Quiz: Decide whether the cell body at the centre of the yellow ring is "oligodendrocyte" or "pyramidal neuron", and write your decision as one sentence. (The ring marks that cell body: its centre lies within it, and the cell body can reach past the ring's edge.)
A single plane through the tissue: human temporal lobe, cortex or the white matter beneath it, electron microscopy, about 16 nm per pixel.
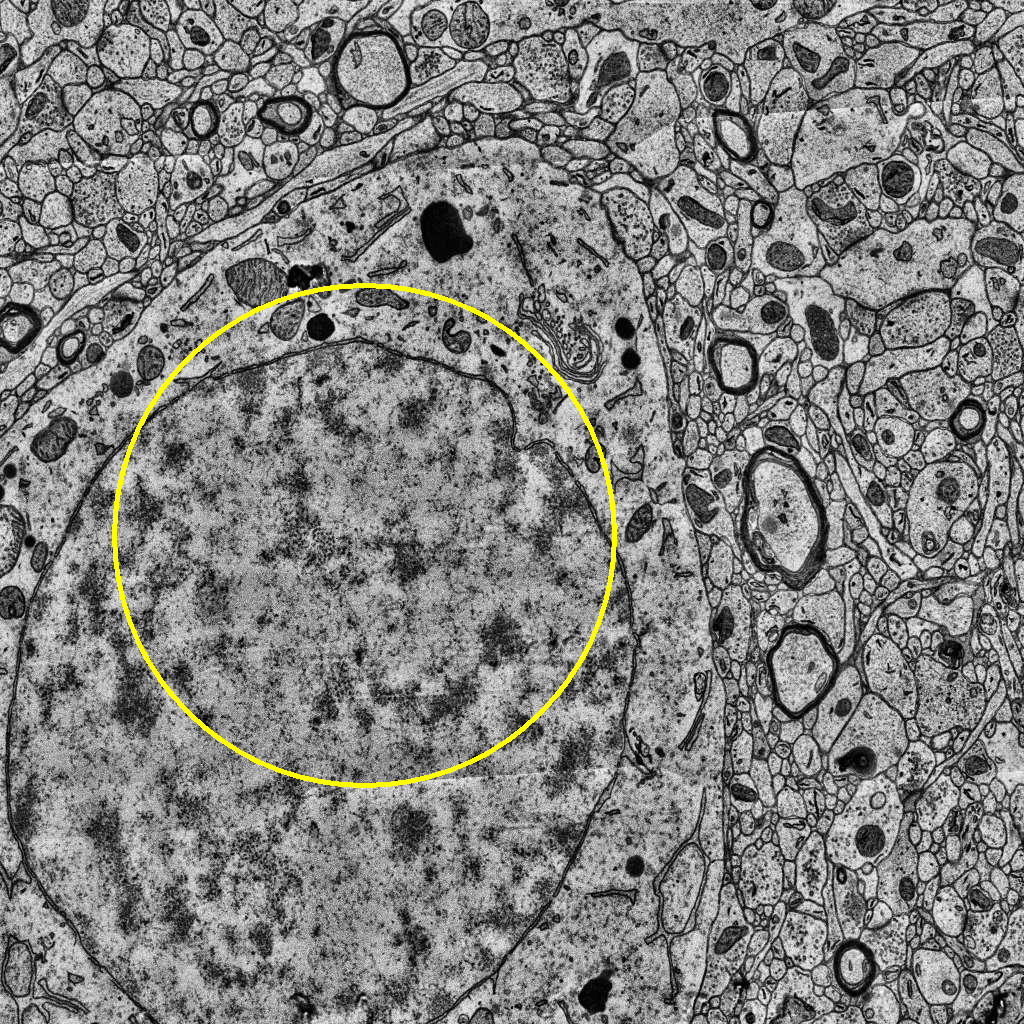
The cell holding the ring's centre is a pyramidal neuron.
